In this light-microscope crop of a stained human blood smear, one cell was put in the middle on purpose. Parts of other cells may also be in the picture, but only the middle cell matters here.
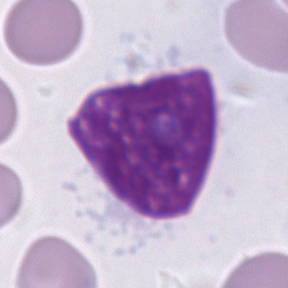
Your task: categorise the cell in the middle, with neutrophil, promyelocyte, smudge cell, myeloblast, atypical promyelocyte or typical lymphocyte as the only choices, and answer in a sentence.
At the middle of the frame sits a smudge cell.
